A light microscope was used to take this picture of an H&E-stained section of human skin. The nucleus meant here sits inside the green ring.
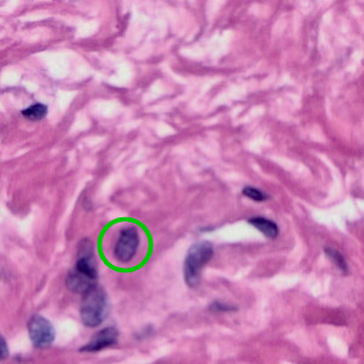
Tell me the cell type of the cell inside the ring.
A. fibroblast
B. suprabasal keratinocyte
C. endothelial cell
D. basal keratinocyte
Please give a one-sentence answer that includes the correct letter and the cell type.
Option C is accurate, for the cell inside the ring is an endothelial cell.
